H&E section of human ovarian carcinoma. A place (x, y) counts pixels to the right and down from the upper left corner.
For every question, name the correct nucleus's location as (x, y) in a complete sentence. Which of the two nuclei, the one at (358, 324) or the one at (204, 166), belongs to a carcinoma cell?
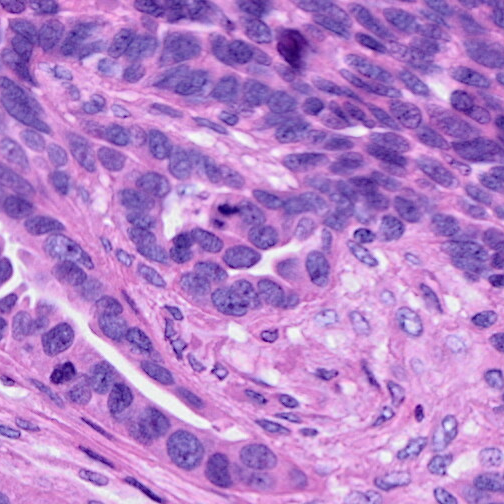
The nucleus of a carcinoma cell is the one found at (204, 166), not the other.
